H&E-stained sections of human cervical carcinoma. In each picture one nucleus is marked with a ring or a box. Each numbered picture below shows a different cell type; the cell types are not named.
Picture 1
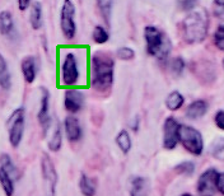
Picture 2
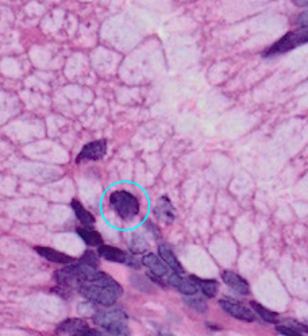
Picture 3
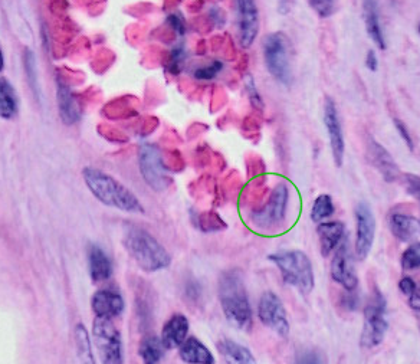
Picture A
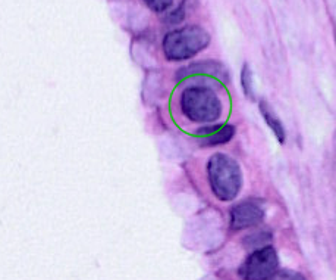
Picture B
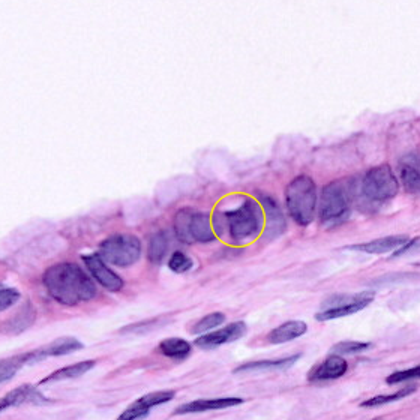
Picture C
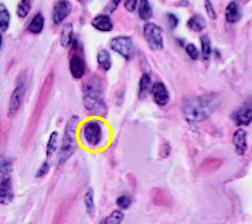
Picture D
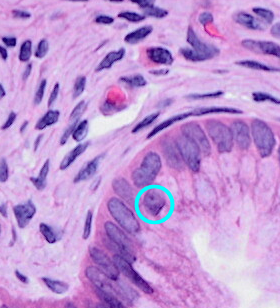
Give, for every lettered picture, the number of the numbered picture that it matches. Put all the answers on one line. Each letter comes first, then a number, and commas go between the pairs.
A 2, B 2, C 1, D 2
